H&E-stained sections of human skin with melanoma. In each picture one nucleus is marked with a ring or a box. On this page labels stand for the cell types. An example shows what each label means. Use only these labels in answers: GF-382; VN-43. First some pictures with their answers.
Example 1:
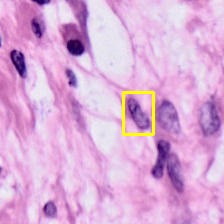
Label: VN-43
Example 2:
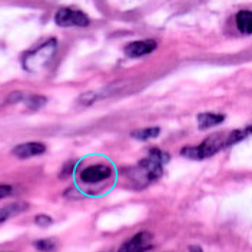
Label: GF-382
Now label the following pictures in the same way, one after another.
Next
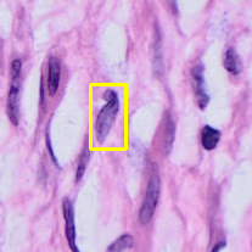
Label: VN-43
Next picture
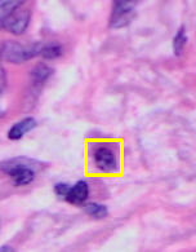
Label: GF-382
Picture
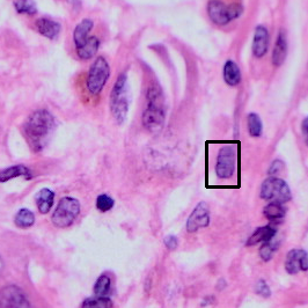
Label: VN-43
